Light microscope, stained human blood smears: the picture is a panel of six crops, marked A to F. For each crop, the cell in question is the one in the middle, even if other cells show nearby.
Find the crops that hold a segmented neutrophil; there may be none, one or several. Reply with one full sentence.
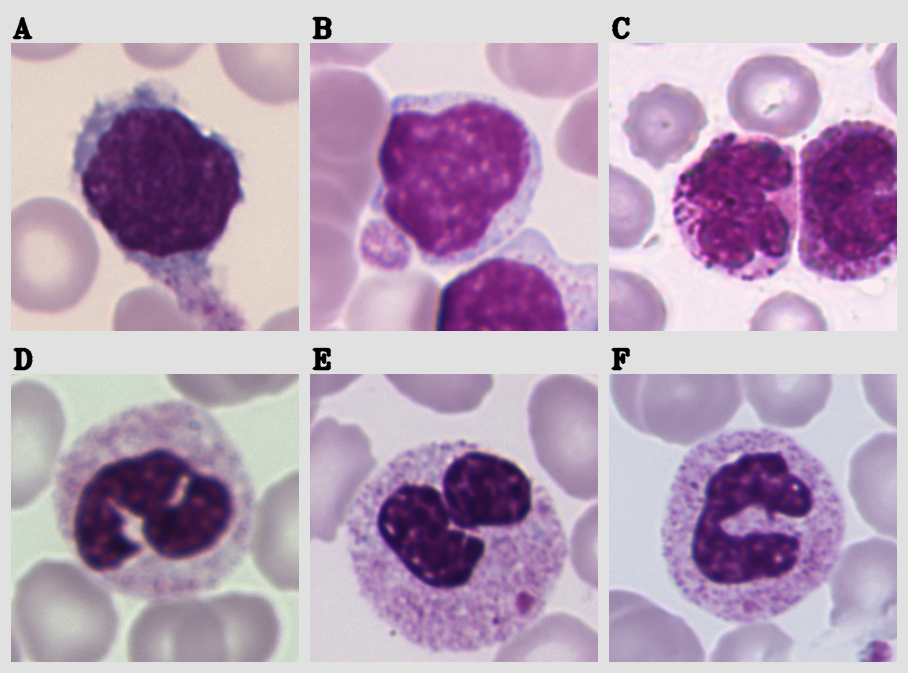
The cells marked D, E and F are segmented neutrophils.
